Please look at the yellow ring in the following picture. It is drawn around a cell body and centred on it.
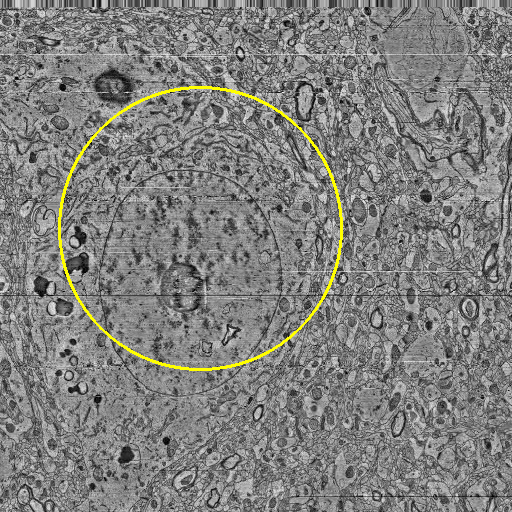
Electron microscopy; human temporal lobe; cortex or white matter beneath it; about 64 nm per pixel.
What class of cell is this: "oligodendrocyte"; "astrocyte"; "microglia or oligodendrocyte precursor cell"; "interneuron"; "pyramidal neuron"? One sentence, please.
The ring surrounds the cell body of a pyramidal neuron.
